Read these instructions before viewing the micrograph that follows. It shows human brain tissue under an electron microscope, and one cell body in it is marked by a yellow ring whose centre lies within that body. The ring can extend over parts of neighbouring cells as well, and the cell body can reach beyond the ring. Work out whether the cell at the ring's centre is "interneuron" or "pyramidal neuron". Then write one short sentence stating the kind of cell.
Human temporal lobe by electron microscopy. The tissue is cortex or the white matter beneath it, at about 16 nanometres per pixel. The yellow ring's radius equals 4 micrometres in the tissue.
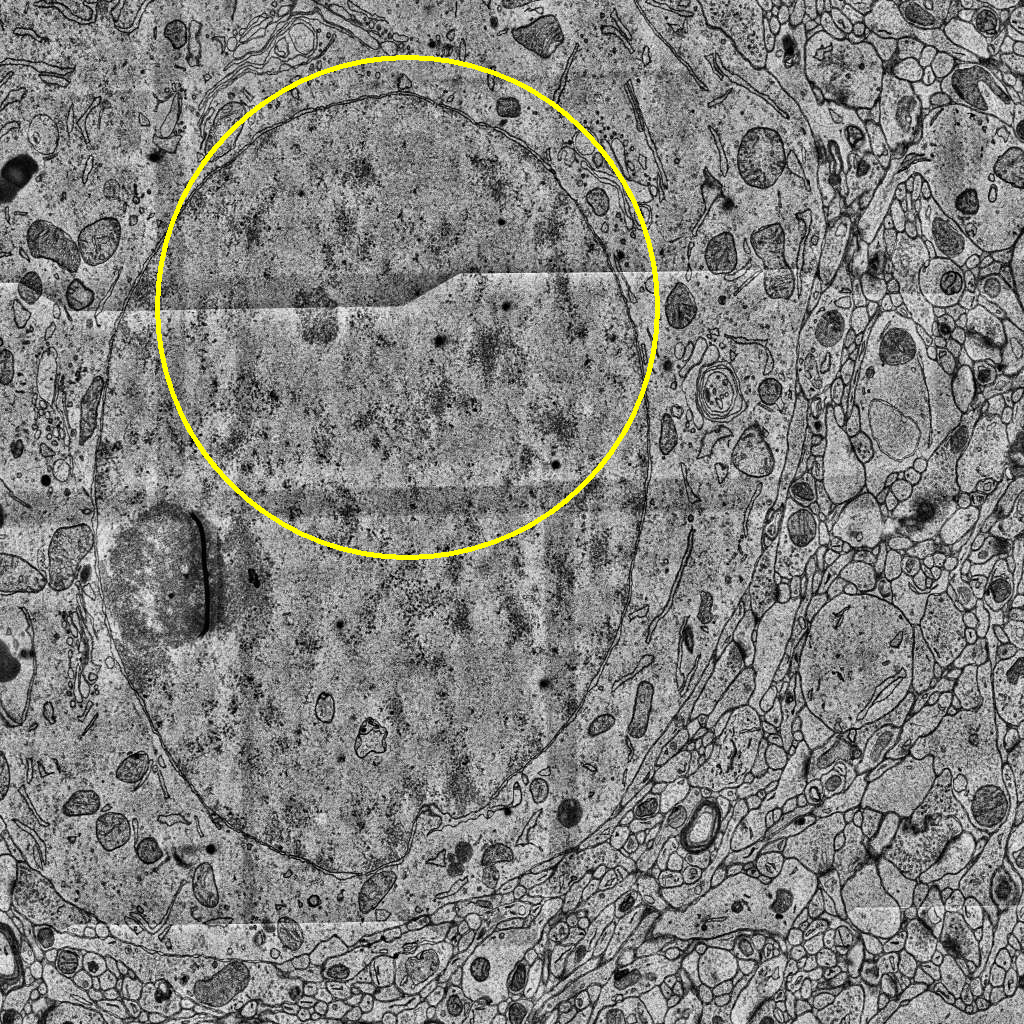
The cell at the ring's centre is an interneuron.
